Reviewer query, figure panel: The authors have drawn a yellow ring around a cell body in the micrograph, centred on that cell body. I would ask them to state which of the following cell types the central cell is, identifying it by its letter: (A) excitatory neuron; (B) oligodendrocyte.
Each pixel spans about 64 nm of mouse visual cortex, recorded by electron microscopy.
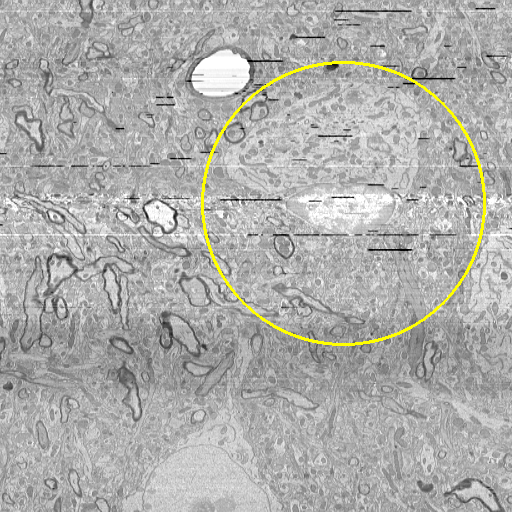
B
